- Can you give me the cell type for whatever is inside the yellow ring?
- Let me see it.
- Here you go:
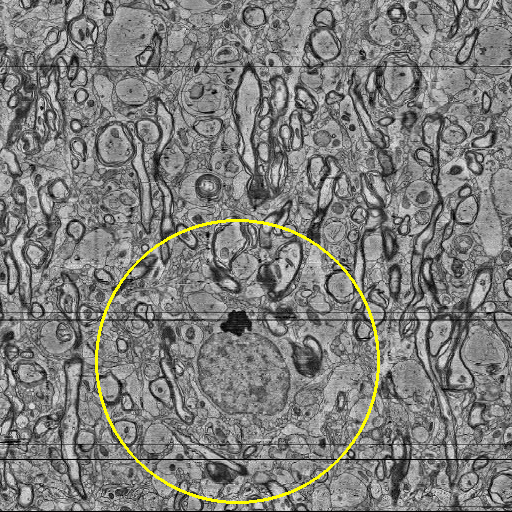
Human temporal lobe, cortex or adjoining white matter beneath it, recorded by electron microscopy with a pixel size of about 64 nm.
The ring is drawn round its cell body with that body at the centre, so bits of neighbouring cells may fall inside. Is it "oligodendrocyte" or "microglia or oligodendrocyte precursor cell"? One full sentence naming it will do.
The cell body in the middle of the ring in this picture belongs to an oligodendrocyte.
